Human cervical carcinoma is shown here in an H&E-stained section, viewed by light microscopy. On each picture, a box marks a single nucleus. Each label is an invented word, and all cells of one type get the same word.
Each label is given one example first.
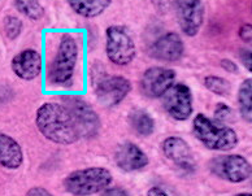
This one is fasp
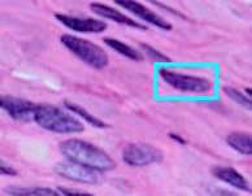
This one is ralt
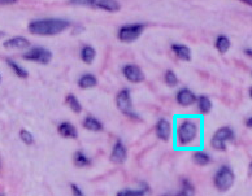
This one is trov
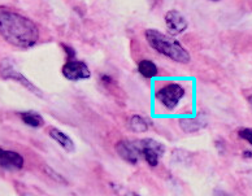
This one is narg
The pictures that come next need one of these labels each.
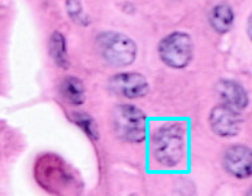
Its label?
fasp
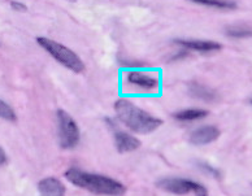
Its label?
ralt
